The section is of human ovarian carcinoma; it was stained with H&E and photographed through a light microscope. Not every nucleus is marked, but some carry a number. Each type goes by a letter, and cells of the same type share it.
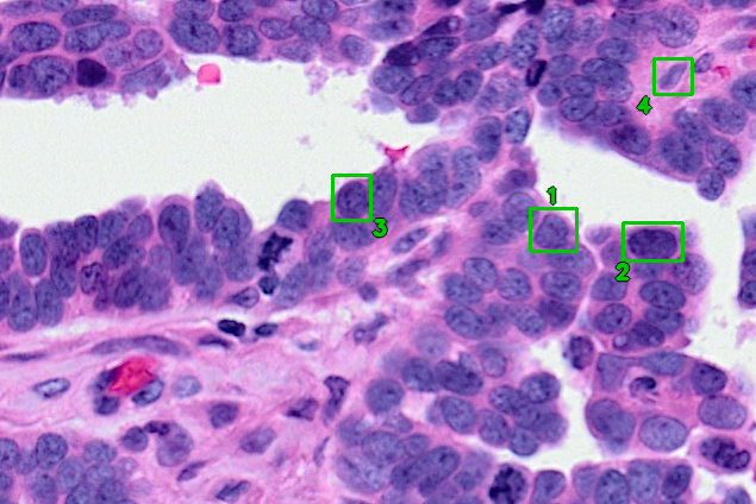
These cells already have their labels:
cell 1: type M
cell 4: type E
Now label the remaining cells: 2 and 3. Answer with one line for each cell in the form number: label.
2: type M
3: type M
